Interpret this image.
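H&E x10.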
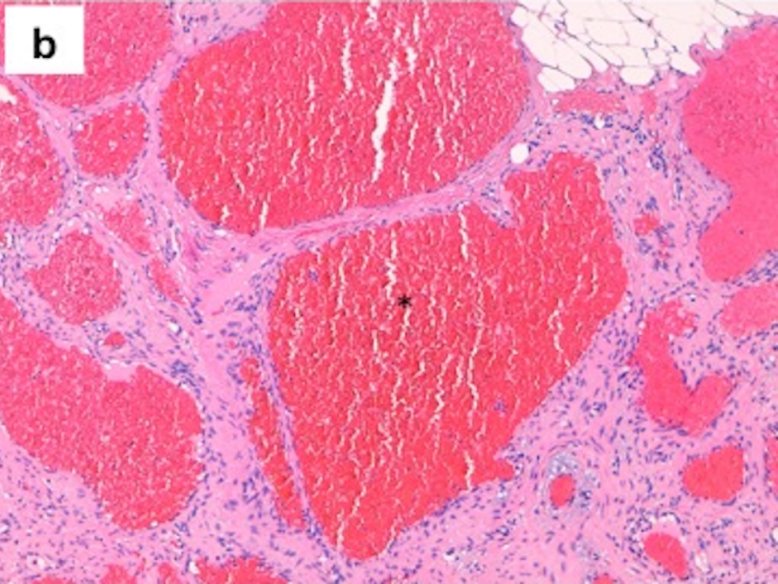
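Large, dilated, irregular vascular spaces are packed with bright red red blood cells and separated by fibrous stroma. The vessel walls are thin and lined by a flat endothelium. The stroma between the vessels is pink and fibrous, with scattered spindle-shaped cells that have small, bland, dark-blue nuclei. Fat cells with clear, empty cytoplasm appear at the top edge.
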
